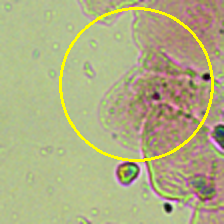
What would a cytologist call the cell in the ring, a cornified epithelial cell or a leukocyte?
A cytologist would call it a cornified epithelial cell.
